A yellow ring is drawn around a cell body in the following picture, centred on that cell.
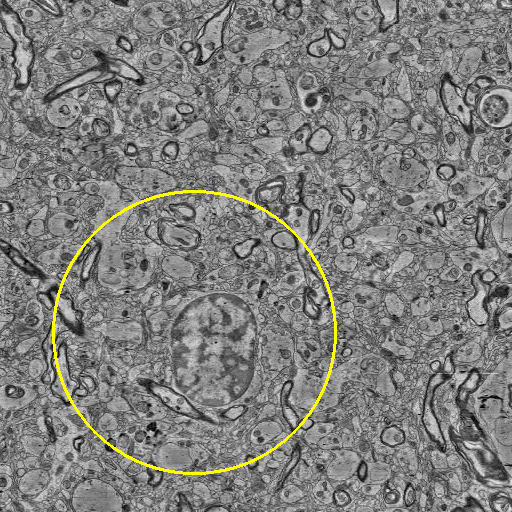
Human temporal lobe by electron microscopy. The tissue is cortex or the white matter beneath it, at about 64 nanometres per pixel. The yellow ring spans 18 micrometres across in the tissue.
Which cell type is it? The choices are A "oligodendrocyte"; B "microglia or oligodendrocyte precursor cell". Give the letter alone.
B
